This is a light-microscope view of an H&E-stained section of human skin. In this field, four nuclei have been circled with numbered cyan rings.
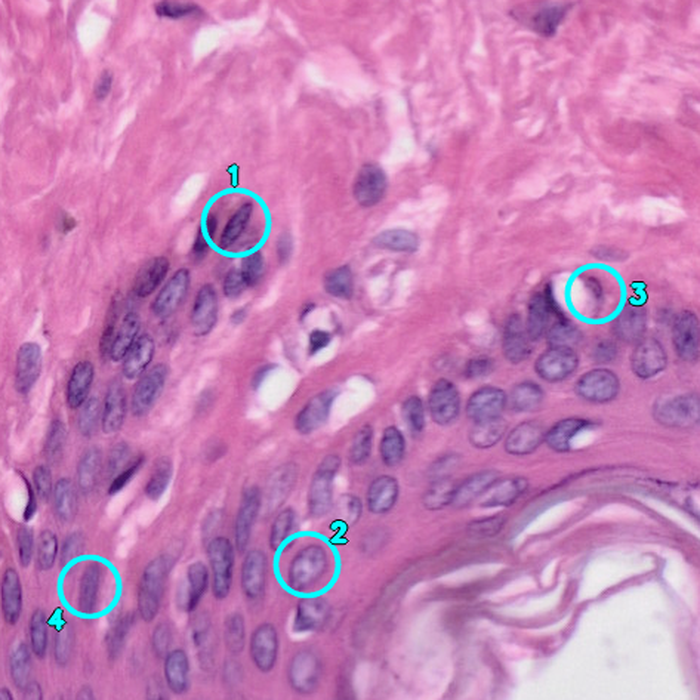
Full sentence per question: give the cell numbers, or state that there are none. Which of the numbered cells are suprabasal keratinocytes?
The numbered cells include exactly one that is a suprabasal keratinocyte, which is cell 2.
